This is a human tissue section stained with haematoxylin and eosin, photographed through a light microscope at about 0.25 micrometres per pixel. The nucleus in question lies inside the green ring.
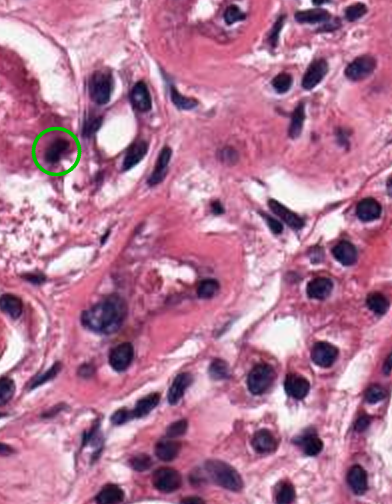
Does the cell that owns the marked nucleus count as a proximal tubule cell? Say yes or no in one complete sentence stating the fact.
Yes, the marked nucleus belongs to a proximal tubule cell in this field.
